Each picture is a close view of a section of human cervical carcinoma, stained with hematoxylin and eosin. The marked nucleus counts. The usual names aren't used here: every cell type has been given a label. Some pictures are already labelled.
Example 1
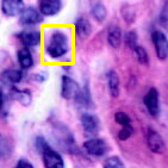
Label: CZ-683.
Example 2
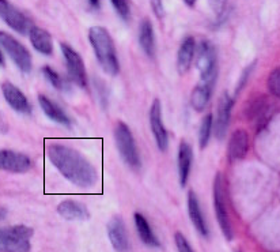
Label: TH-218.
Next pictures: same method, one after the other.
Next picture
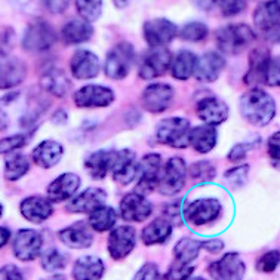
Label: CZ-683.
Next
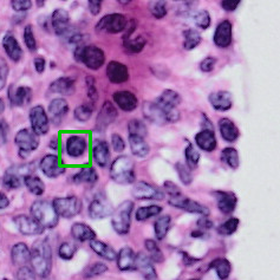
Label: CZ-683.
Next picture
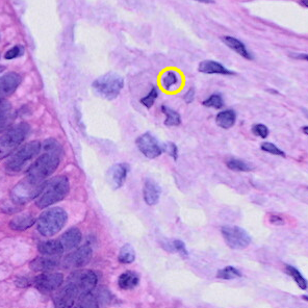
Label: TH-218.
